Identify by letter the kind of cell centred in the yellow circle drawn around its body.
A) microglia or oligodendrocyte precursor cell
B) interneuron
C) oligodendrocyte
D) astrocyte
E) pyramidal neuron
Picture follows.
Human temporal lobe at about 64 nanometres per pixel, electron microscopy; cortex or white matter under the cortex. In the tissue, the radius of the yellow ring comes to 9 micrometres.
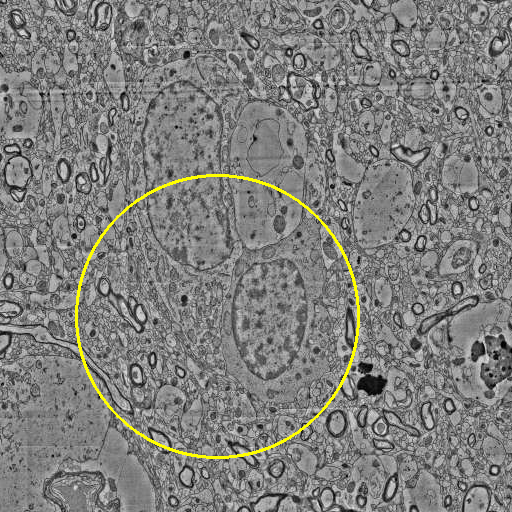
C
